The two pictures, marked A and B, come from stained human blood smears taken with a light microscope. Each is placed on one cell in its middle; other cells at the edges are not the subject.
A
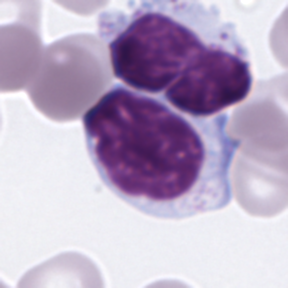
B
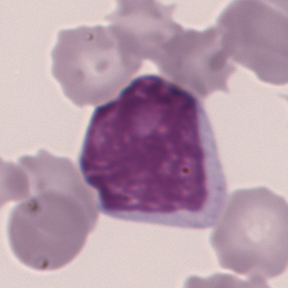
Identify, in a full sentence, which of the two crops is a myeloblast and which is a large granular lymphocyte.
Here crop A is a large granular lymphocyte, and crop B is a myeloblast.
